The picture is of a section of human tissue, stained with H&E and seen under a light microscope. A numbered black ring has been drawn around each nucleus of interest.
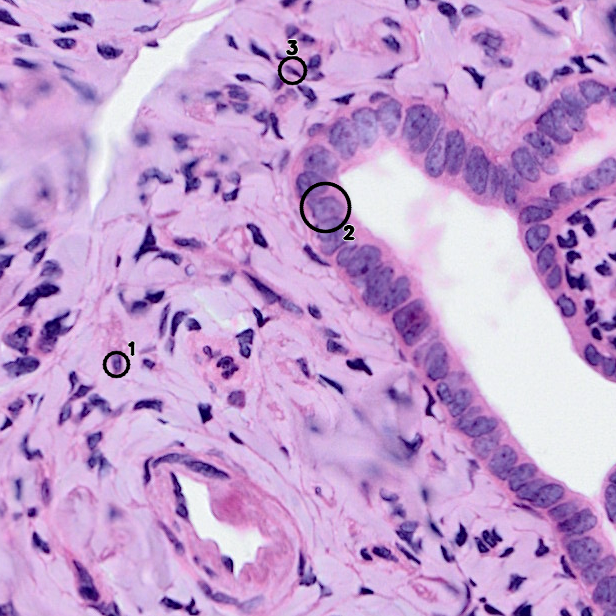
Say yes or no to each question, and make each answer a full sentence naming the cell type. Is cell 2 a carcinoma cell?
Yes, the cell tagged with number 2 is a carcinoma cell.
